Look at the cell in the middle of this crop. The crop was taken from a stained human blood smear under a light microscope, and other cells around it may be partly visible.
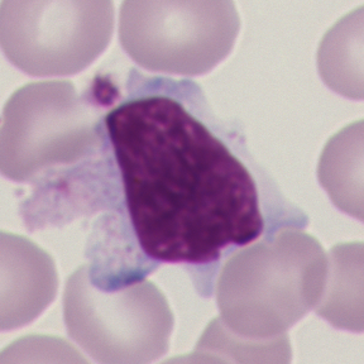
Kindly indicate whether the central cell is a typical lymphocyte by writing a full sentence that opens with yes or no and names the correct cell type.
No, the cell of interest here is a large granular lymphocyte and not a typical lymphocyte.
